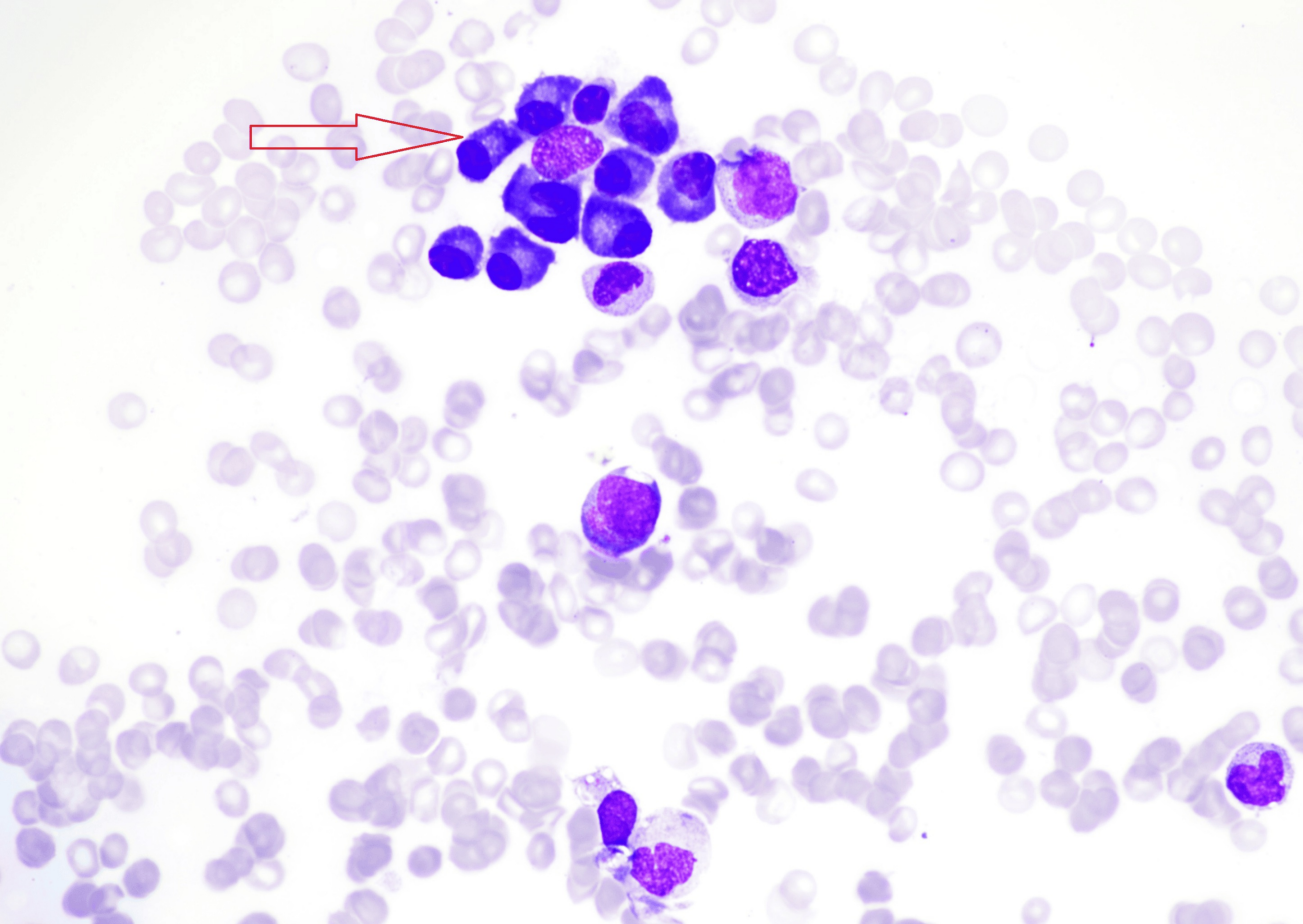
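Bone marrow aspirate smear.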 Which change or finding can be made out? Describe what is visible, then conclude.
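A tight group of cells with dark eccentric nuclei and deep blue cytoplasm lies together near the top. Elsewhere in the field nucleated cells lie singly among red cells. So: clustering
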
